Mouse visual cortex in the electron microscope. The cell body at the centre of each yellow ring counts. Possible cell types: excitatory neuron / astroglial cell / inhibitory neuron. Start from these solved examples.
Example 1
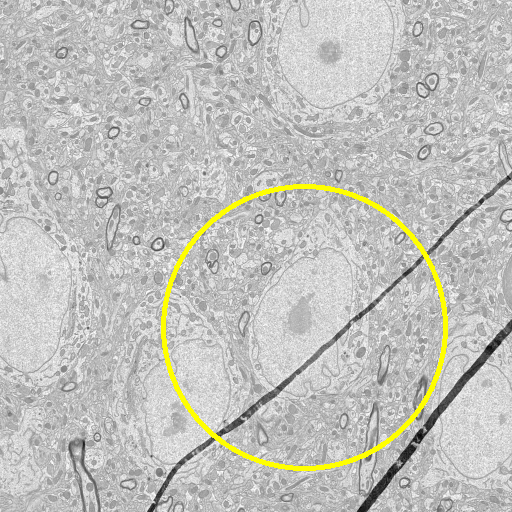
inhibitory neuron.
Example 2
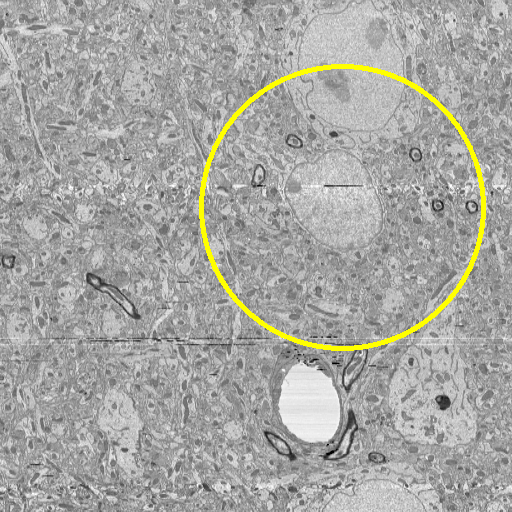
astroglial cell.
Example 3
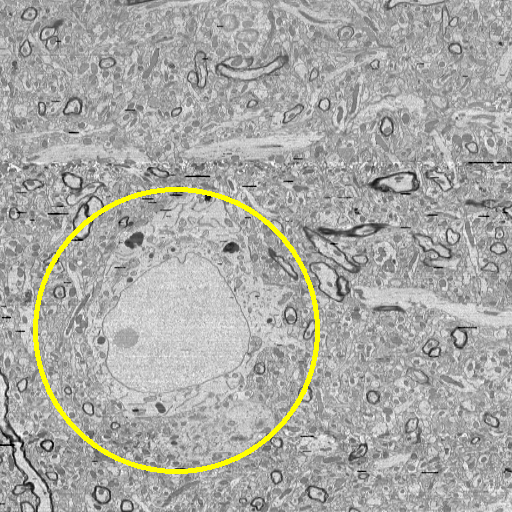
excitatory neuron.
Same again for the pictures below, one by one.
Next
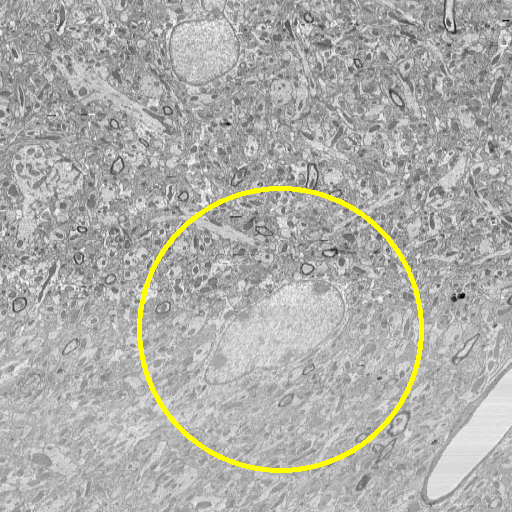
astroglial cell.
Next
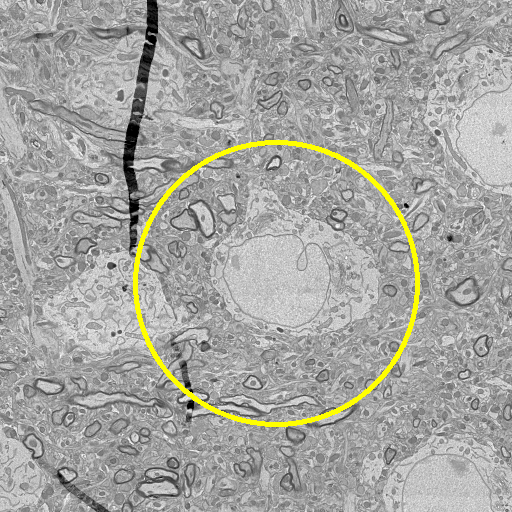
excitatory neuron.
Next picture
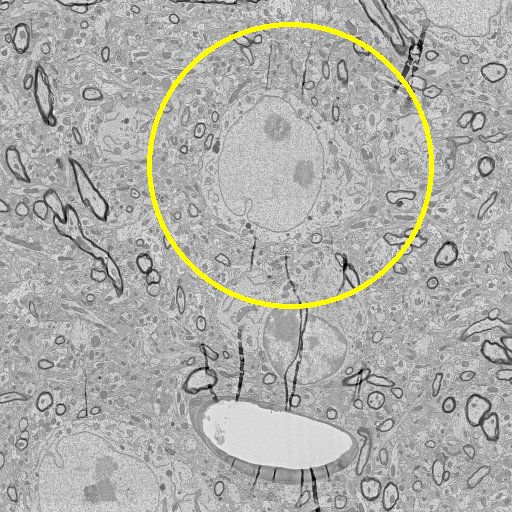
excitatory neuron.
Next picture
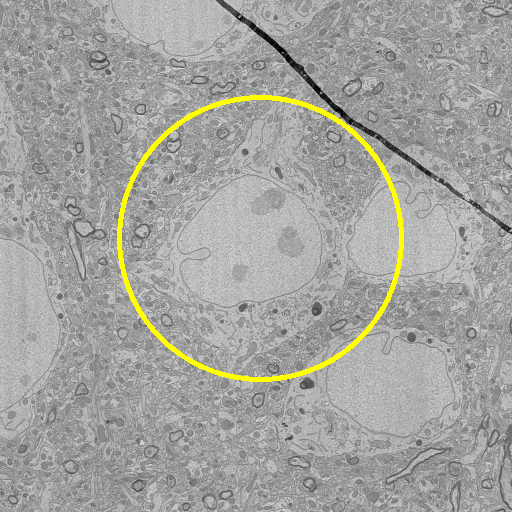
excitatory neuron.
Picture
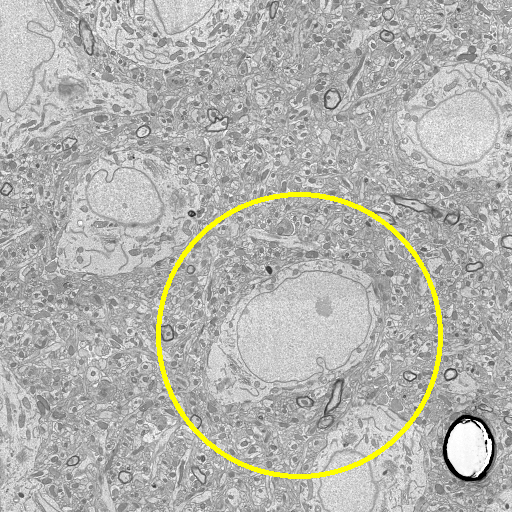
excitatory neuron.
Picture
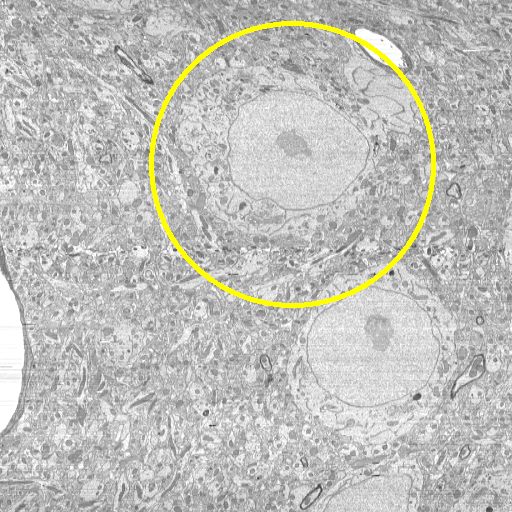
excitatory neuron.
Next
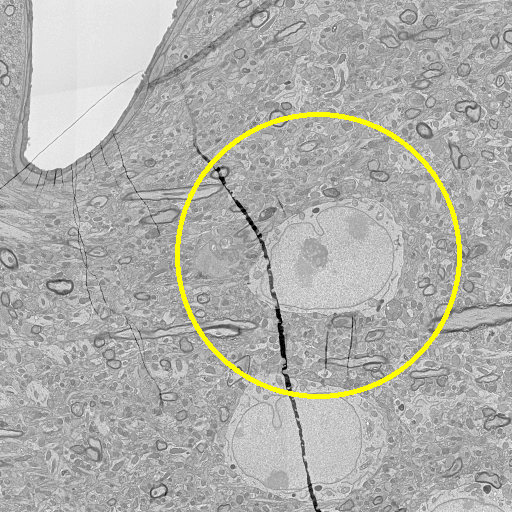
excitatory neuron.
